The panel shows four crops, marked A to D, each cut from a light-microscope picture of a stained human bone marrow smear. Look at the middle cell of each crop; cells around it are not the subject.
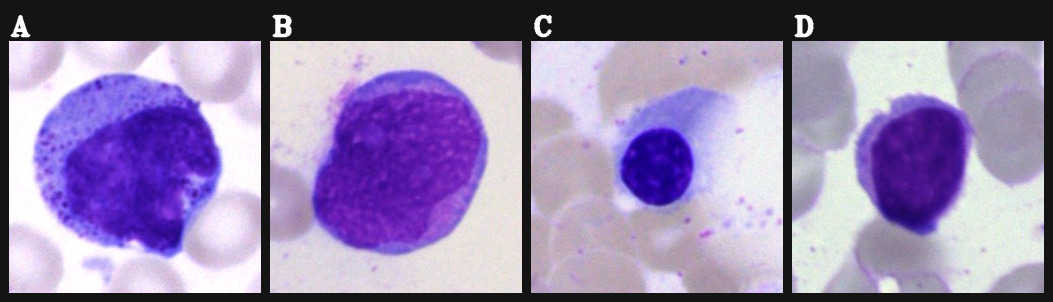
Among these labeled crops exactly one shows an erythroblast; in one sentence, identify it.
It is in crop C, among all the crops, that an erythroblast is present.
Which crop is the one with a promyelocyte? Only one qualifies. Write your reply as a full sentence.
Crop A is the single crop that shows a promyelocyte.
